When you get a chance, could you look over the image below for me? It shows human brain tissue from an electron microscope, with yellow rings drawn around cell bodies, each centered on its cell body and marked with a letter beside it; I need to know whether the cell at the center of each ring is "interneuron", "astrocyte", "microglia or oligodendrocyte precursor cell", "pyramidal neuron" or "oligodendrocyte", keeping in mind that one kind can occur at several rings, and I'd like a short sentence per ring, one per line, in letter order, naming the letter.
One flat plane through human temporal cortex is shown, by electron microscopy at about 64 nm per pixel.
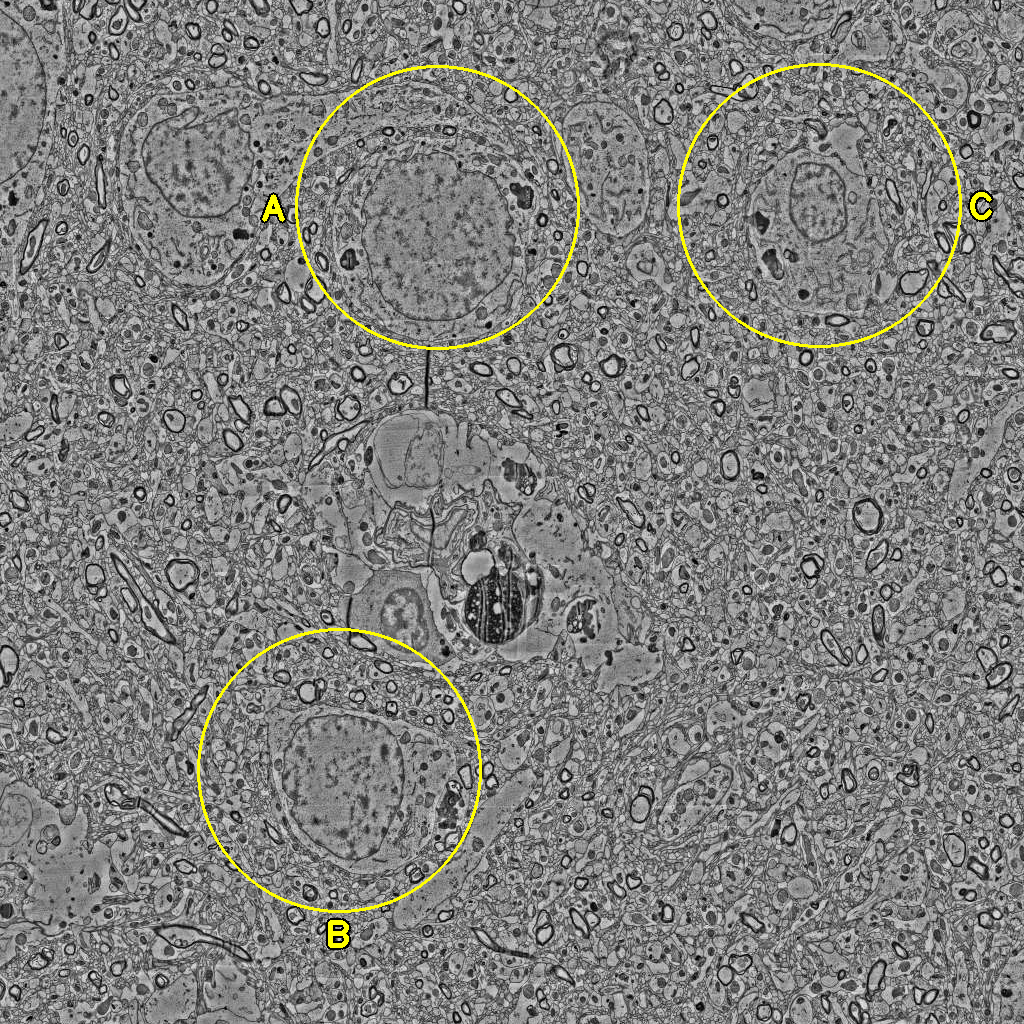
Ring A is centered on a pyramidal neuron.
Ring B is centered on an interneuron.
Ring C is centered on a pyramidal neuron.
